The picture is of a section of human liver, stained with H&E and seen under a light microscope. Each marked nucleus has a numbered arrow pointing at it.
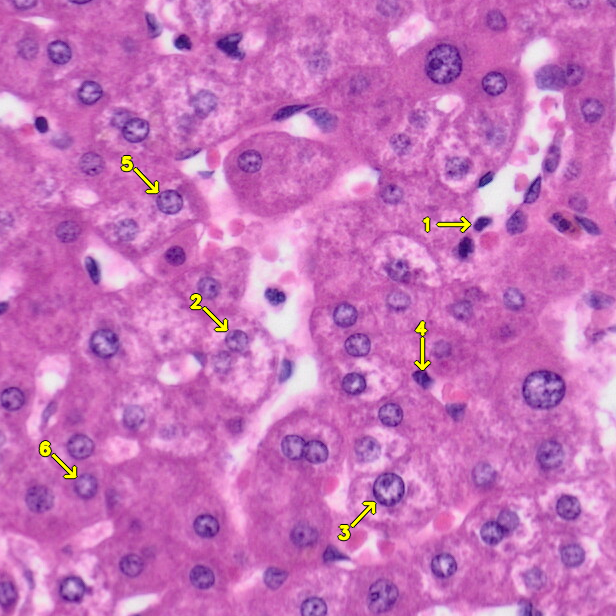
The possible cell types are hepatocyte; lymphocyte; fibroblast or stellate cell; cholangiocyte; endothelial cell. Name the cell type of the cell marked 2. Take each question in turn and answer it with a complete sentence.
The numeral 2 marks a hepatocyte in this section.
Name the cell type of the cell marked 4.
In the tissue shown, cell 4 is a fibroblast or stellate cell.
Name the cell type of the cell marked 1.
Cell 1, among those numbered, is a lymphocyte.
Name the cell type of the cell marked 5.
Among the marked cells, number 5 is a hepatocyte.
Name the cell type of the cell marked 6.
The cell indicated with the number 6 is classed as a hepatocyte.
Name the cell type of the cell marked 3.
Number 3 is placed on a hepatocyte here.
